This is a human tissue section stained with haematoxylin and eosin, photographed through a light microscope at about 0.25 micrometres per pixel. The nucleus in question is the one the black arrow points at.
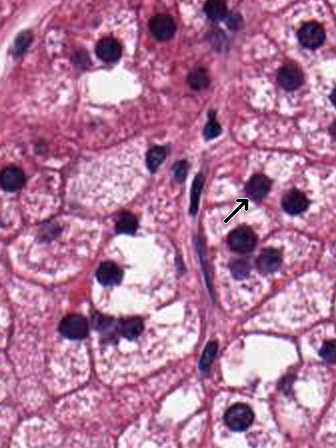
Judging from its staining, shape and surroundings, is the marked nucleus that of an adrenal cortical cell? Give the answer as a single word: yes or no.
yes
